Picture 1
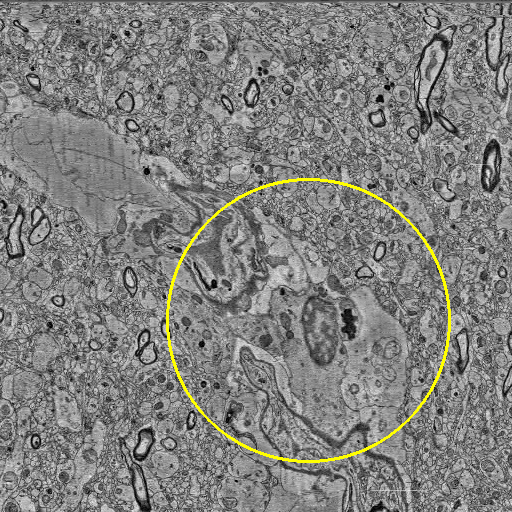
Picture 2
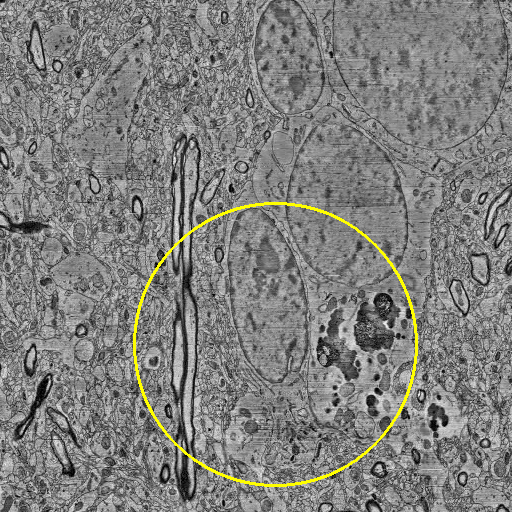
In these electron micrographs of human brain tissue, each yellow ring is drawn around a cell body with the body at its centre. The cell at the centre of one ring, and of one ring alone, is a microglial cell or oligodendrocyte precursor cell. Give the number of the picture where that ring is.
2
